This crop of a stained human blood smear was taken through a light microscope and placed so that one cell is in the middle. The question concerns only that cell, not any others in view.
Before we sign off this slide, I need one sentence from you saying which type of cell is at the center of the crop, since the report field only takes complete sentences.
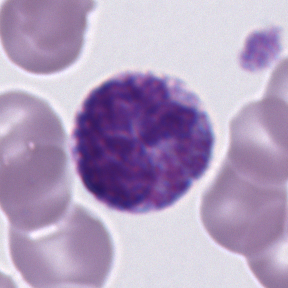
This particular crop is centered on a basophil.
